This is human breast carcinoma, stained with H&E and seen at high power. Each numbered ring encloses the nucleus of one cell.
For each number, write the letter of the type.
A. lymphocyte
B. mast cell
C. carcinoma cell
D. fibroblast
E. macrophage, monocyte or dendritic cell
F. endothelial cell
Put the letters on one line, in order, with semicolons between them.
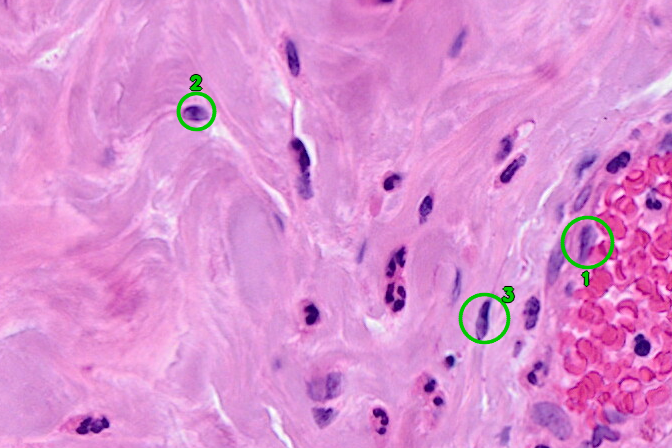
F; D; D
